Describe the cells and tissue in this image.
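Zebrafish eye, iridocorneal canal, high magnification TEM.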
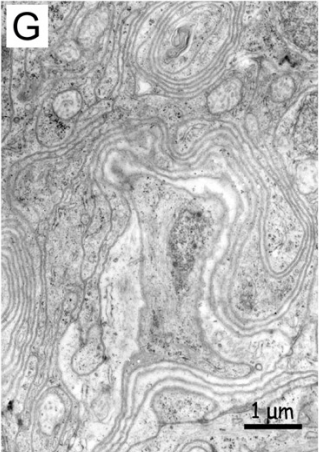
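Between the folds lie small vesicles and little round membrane profiles. Near the centre a small patch of granular cytoplasm is enclosed by the layered membranes. The whole picture is of a deeply involuted, absorptive-looking lining.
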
